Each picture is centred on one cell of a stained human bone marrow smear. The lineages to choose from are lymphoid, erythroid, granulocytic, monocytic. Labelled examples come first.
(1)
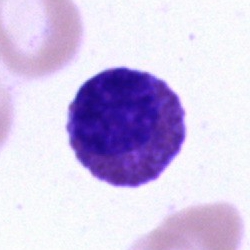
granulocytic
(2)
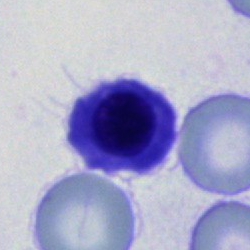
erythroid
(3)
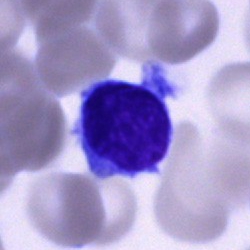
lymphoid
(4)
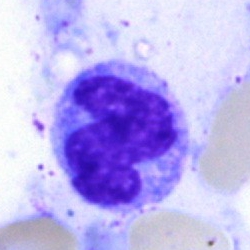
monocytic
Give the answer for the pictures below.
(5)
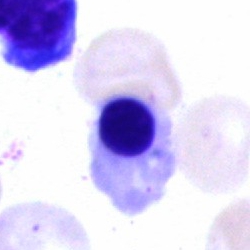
erythroid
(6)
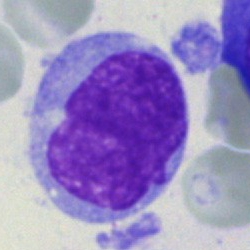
monocytic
